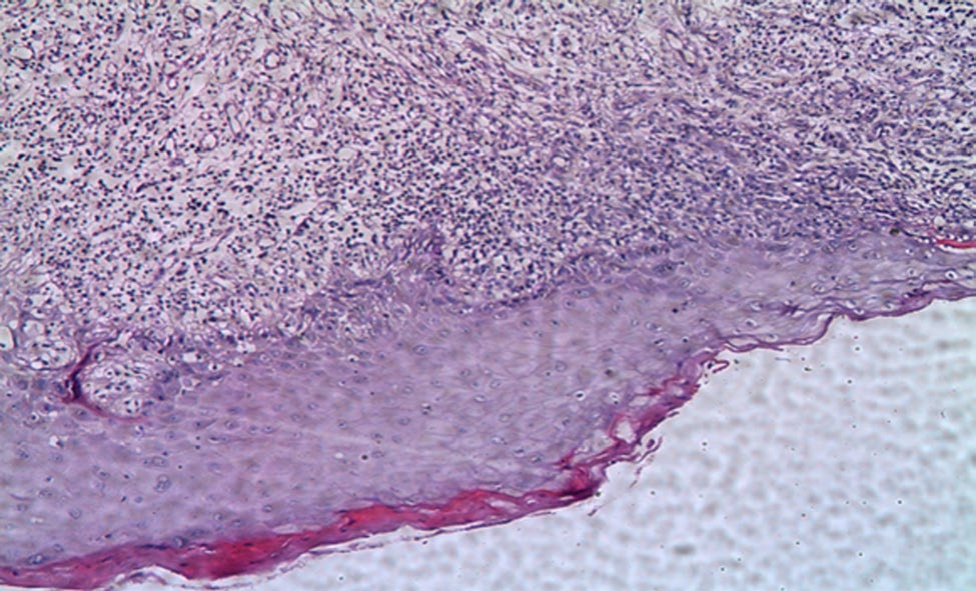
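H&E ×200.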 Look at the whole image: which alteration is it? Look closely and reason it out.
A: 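Crowded small dark round nuclei fill the connective tissue beneath the epithelium. The crowded cells form a band running along the base of the epithelium.
Answer: dense band of inflammatory cells infiltration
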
